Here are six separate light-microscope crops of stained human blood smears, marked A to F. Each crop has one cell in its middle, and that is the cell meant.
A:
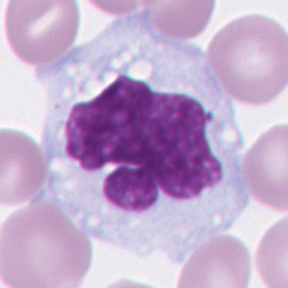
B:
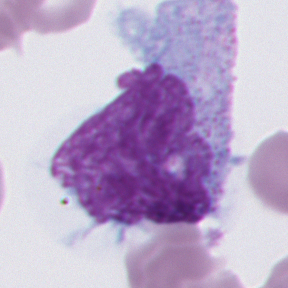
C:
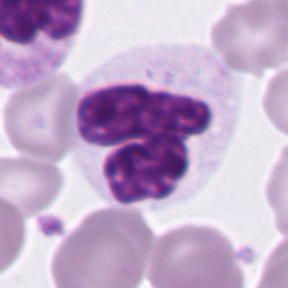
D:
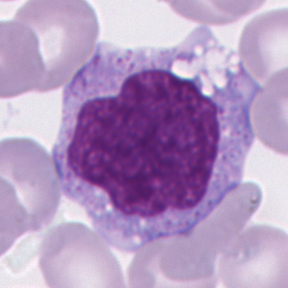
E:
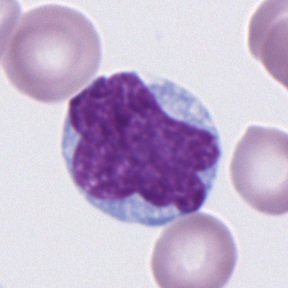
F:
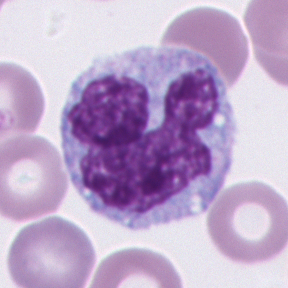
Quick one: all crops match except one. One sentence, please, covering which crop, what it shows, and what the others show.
The exception is crop C, with a segmented neutrophil; the remaining crops all show monocytes.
